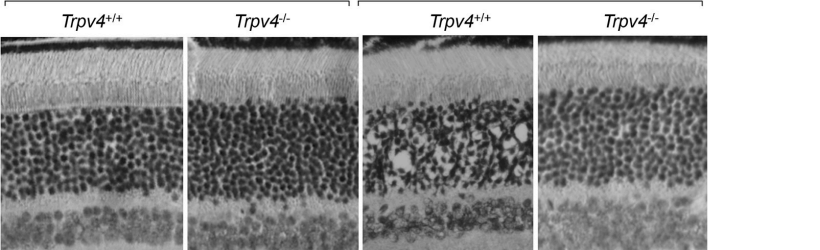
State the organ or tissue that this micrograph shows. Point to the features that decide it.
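Stacked horizontal layers alternate between dense bands of dark round nuclei and pale fibrillar bands. A dark pigmented band runs along the top edge above a pale striated band.
Retinas.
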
